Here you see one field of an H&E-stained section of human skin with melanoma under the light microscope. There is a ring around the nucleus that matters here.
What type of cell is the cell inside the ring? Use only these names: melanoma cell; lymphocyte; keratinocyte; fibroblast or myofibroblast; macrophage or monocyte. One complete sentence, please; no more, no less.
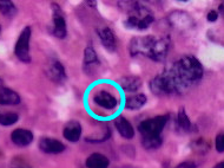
Histopathologically, the cell inside the ring is a lymphocyte.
